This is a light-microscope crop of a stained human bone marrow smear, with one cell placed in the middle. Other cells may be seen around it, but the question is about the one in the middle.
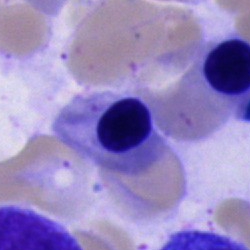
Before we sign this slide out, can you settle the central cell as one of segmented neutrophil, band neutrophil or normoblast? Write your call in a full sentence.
The centered cell in this crop is a normoblast.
